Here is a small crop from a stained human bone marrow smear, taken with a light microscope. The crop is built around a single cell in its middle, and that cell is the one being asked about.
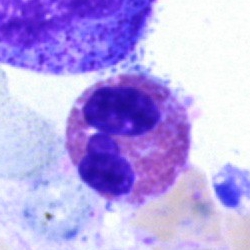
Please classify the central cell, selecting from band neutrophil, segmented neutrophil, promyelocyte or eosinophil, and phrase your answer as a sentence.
The identification for the central cell is an eosinophil.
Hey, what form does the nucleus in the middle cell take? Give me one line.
You can count two or more lobes in this nucleus.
